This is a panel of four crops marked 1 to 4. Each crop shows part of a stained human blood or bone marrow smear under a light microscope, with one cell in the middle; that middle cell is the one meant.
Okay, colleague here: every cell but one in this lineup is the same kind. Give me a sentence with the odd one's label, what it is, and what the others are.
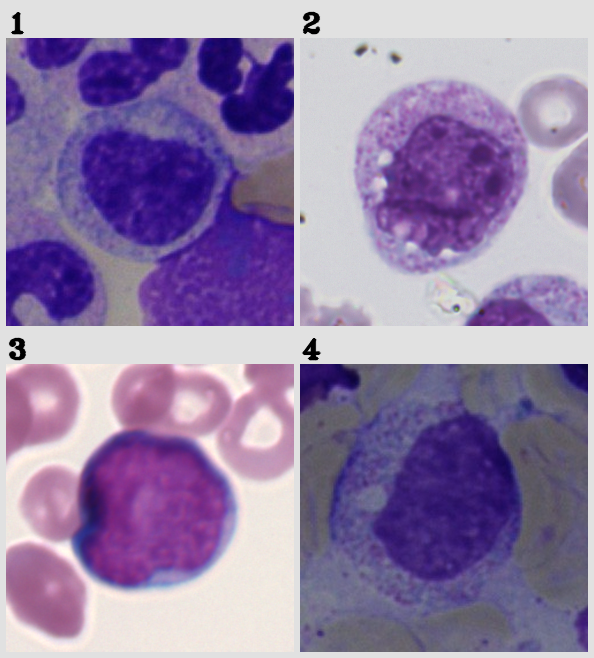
Here the outlier is crop 3, which is a blast, and the rest are myelocytes.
